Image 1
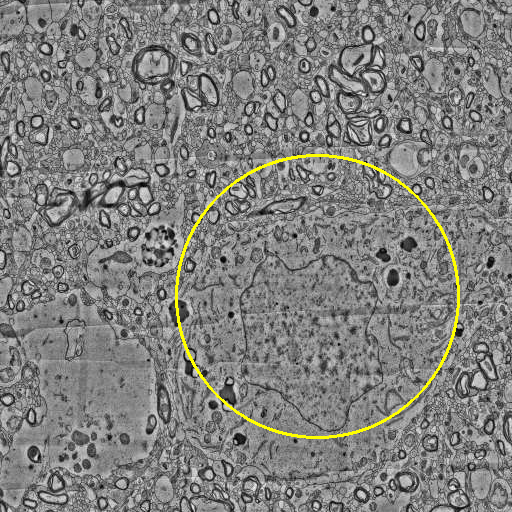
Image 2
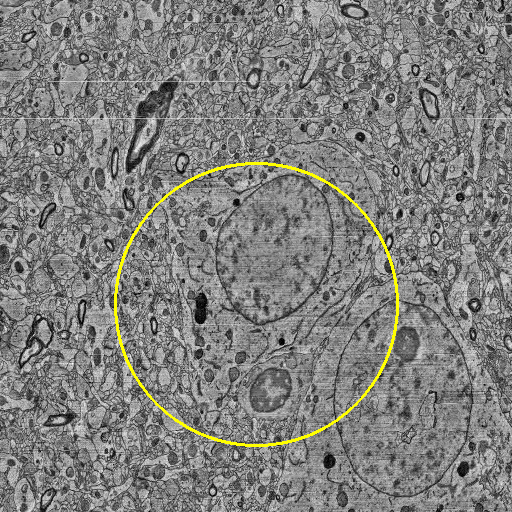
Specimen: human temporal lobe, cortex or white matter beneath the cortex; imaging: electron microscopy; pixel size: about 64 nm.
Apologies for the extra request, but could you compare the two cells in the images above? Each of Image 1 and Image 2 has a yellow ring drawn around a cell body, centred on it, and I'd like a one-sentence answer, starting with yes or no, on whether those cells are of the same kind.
Yes, both cells are of the same kind.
